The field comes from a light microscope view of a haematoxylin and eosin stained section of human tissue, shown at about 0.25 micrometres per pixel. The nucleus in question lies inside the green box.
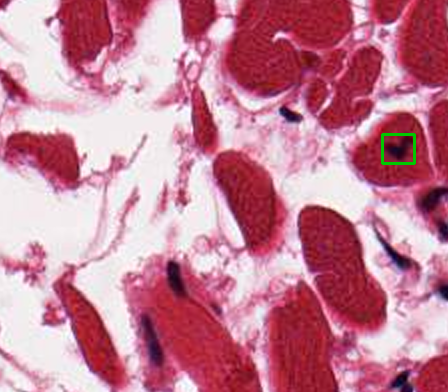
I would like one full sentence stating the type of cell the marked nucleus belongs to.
The cell that the marked nucleus belongs to is a cardiomyocyte.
